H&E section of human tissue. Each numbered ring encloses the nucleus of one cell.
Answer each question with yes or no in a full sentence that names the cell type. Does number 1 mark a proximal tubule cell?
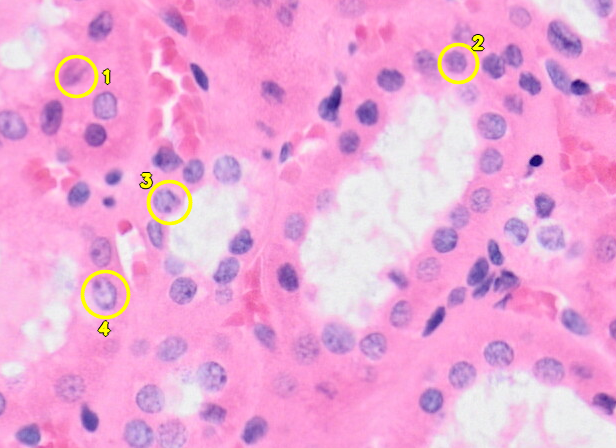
Yes, that one, number 1, is a proximal tubule cell.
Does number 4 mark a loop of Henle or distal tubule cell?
No, the cell under number 4 is a proximal tubule cell, not a loop of Henle or distal tubule cell.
